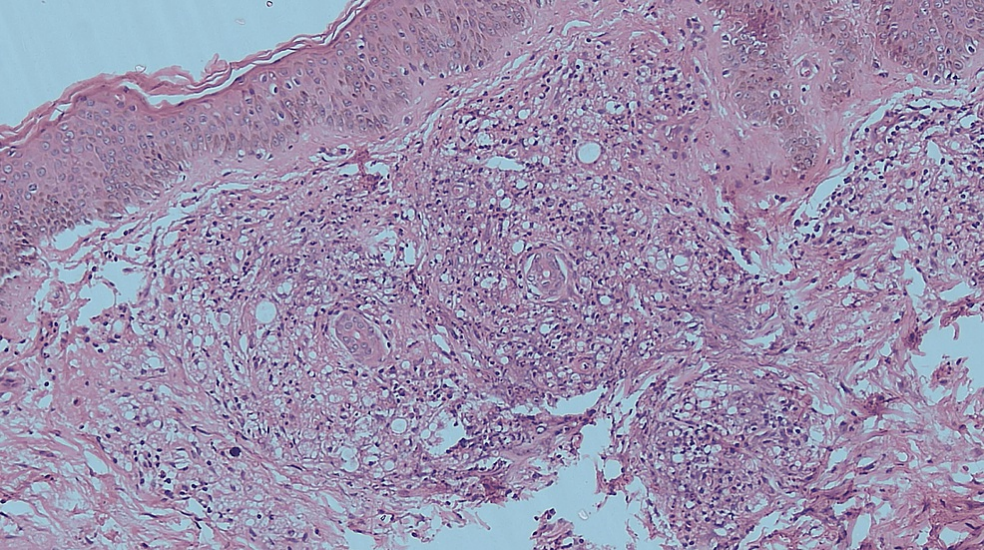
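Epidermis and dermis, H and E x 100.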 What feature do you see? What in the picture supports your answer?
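A narrow band of pink dermis lies between the epidermis and the dense infiltrate. The infiltrate does not reach the base of the epidermis. So: Grenz zone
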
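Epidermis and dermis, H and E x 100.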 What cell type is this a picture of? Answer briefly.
Foamy macrophages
